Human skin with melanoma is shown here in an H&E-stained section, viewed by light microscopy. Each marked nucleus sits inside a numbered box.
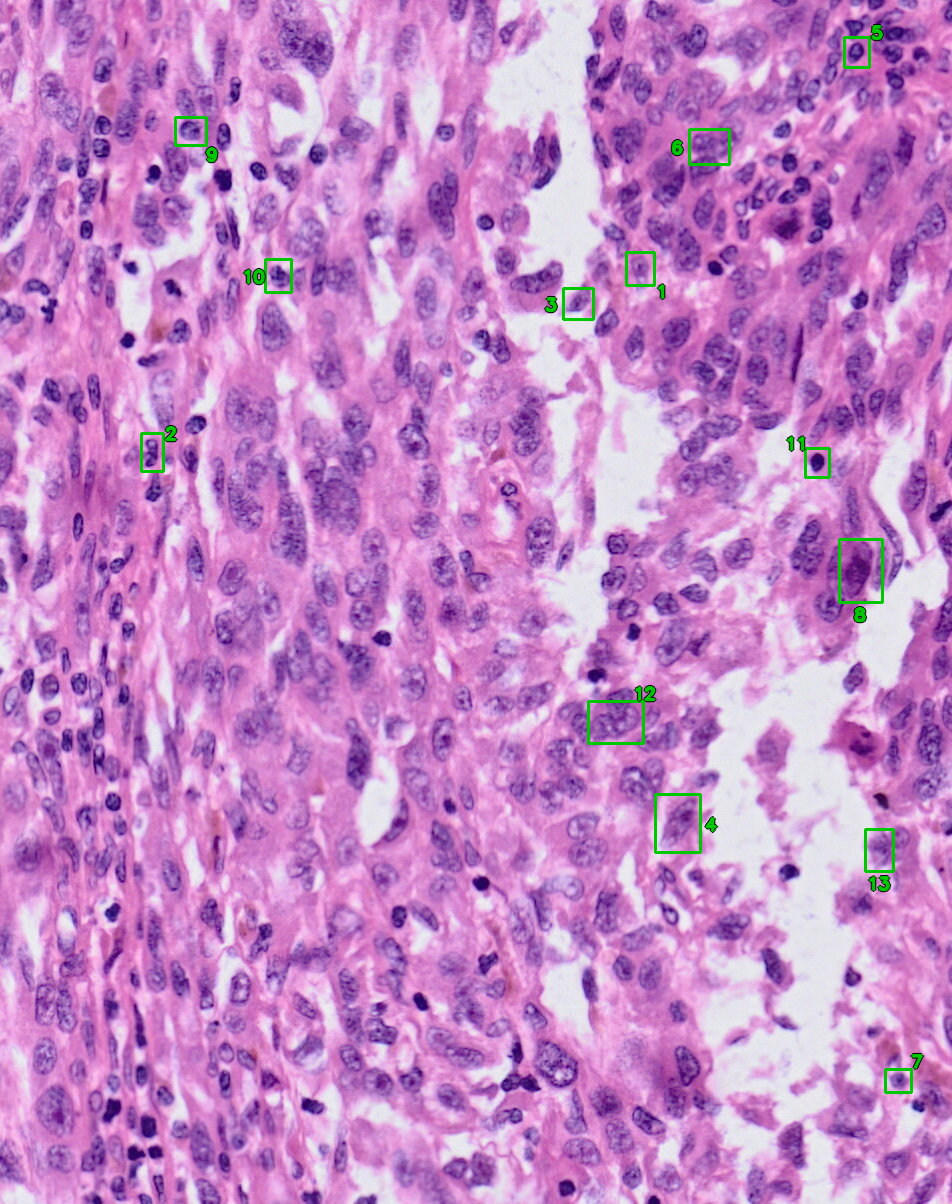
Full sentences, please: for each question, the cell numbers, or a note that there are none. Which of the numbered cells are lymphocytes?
The cells numbered 2, 5, 7, 9, 10 and 11 fall into the category of lymphocytes.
